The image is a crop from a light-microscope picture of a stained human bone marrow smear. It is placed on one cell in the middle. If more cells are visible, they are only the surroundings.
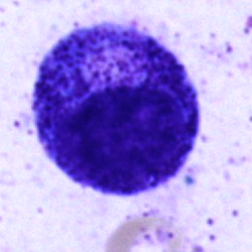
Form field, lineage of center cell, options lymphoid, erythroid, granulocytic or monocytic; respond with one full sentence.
Here the cell at the center is of the granulocytic lineage.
